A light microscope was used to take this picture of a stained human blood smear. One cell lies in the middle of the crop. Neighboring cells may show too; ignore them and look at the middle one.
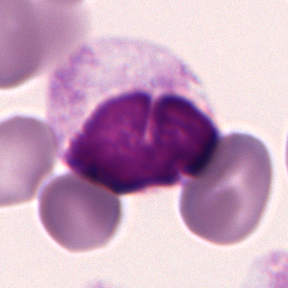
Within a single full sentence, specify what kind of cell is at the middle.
The cell in the middle of this crop is a band neutrophil.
